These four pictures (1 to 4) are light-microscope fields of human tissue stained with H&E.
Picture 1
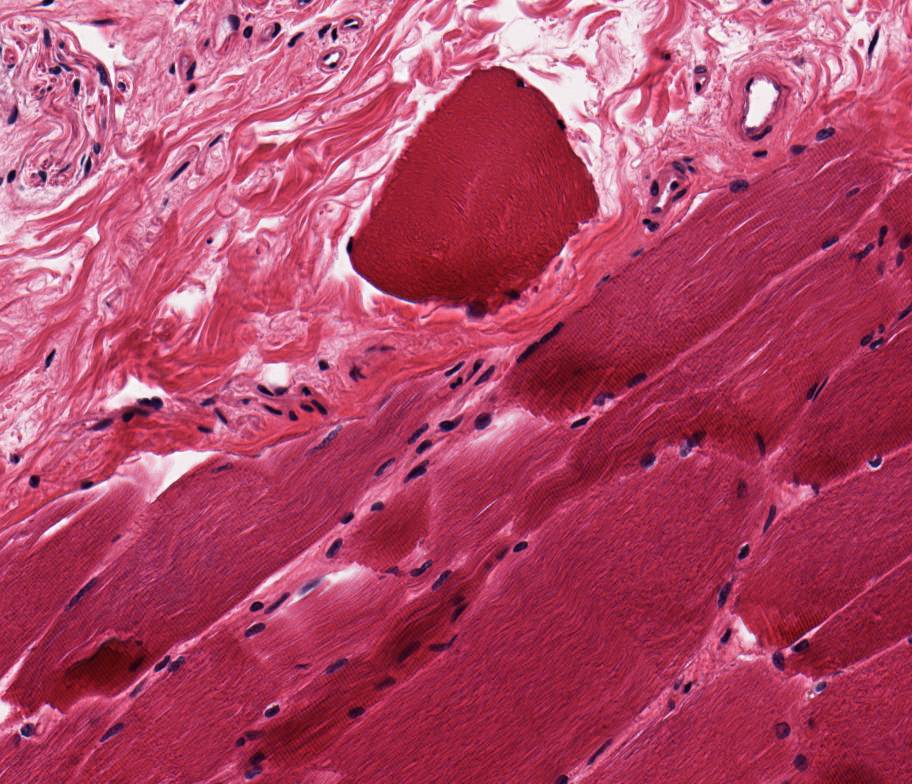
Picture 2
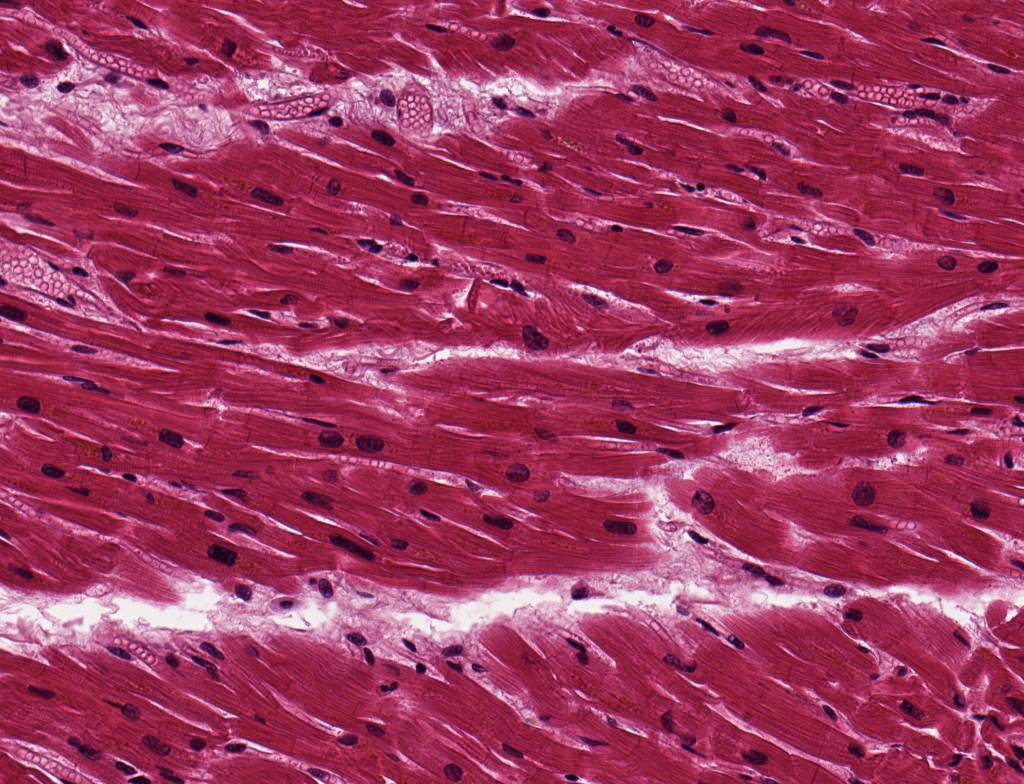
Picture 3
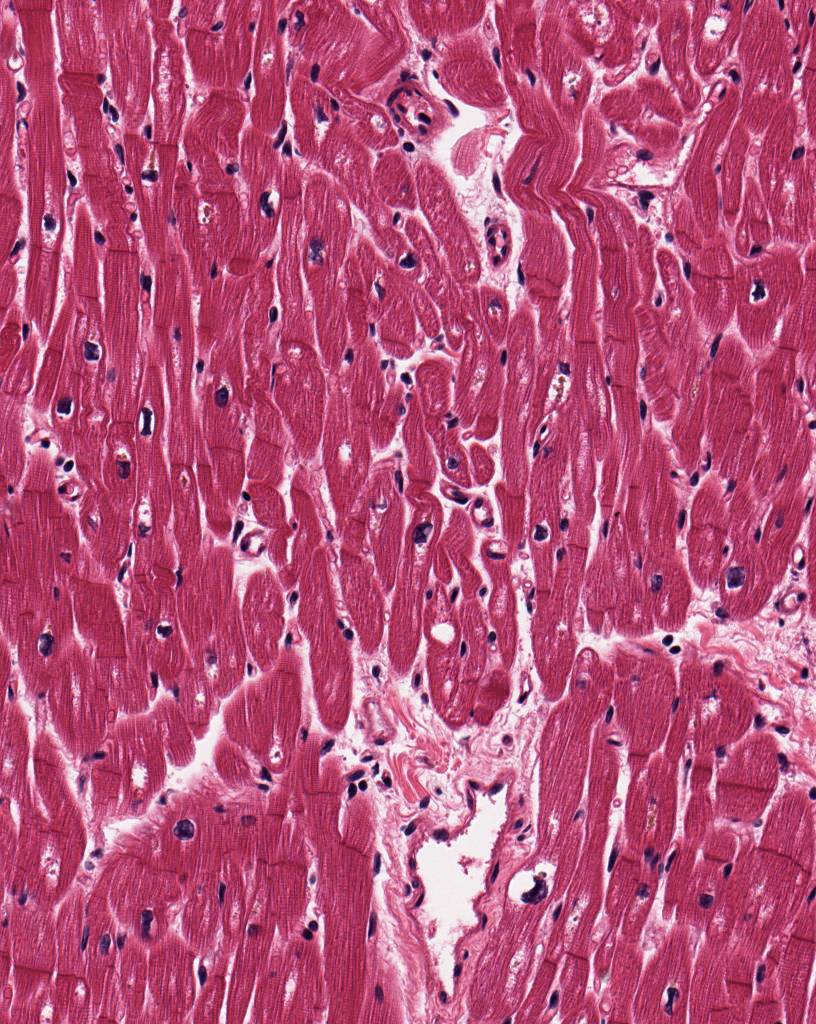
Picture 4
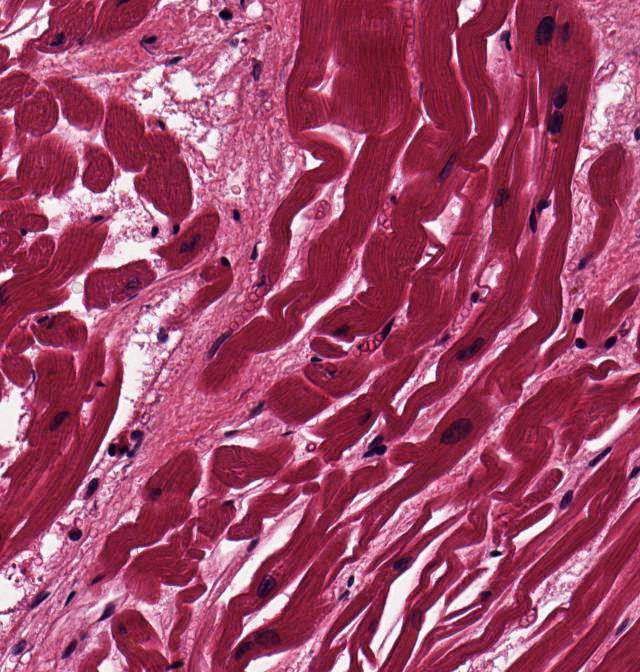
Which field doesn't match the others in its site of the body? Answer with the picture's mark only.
1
